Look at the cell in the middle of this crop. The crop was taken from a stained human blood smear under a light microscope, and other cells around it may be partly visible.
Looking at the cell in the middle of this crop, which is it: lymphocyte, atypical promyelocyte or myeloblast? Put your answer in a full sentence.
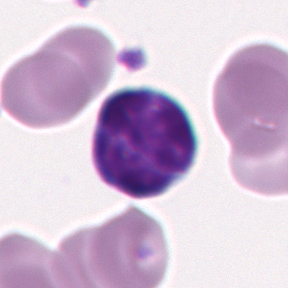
In the middle of this smear crop is a lymphocyte.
